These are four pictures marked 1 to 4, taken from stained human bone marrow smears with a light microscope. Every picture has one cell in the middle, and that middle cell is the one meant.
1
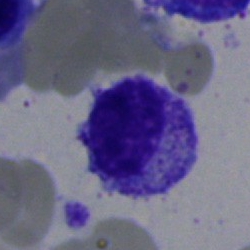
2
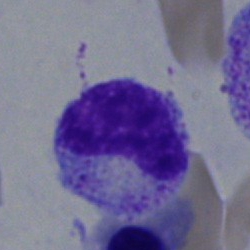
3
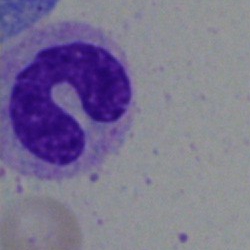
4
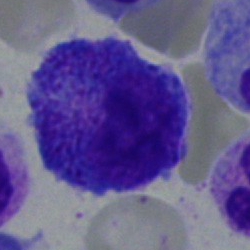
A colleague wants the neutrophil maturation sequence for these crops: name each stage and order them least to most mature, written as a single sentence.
Least to most mature, the crops are crop 4 (a promyelocyte), crop 1 (a myelocyte), crop 2 (a metamyelocyte) and crop 3 (a band neutrophil).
